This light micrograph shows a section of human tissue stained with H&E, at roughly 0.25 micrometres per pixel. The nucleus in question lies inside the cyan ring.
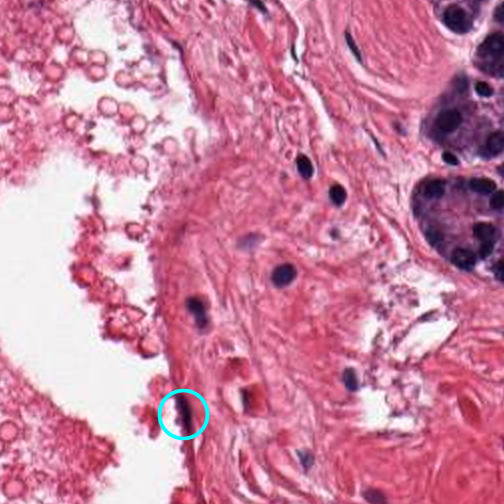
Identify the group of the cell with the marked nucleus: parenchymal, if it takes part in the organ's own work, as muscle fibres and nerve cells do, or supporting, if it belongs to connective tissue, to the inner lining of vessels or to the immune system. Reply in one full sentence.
In this field, the marked nucleus is the nucleus of a supporting cell.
